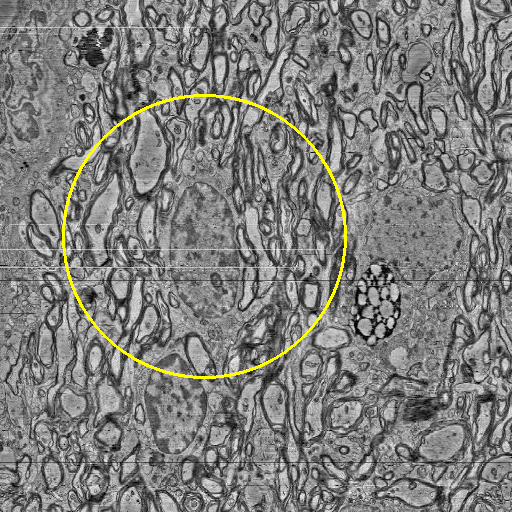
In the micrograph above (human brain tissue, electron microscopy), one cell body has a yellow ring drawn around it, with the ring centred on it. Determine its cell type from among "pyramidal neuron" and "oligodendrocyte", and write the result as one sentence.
The cell whose body is ringed is an oligodendrocyte.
